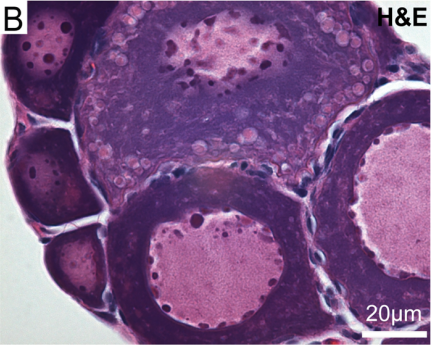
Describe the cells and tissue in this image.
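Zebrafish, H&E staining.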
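Large rounded germ cells of differing sizes lie packed side by side, each with a wide purple cytoplasm and a big pale central nucleus. Small dark dots sit near the inner rim of several nuclei, and the larger cells show a finely granular pink-purple interior. Thin flattened cells with small nuclei wrap around and between them. These are oocytes at different stages of growth in an ovary, each enclosed by a thin follicle layer.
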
